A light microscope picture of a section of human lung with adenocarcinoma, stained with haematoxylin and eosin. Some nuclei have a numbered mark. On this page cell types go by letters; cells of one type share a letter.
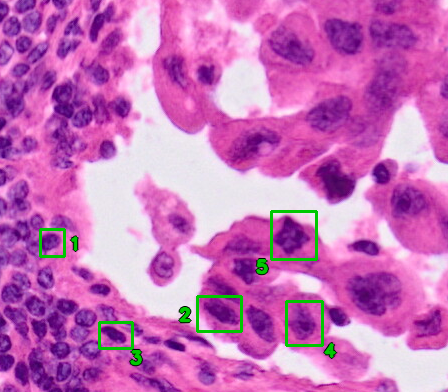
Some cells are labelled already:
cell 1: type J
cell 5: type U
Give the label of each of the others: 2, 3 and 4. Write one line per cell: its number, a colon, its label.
2: type U
3: type J
4: type U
